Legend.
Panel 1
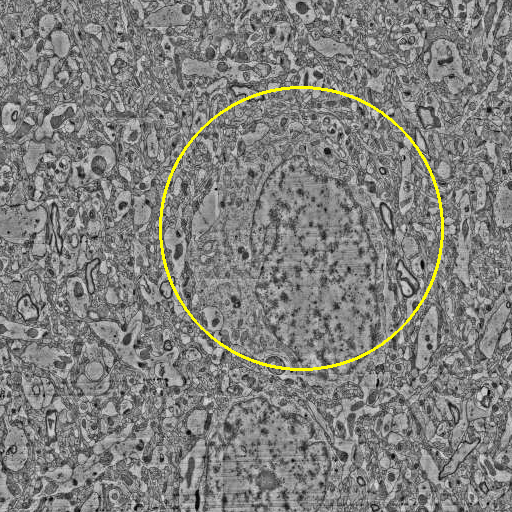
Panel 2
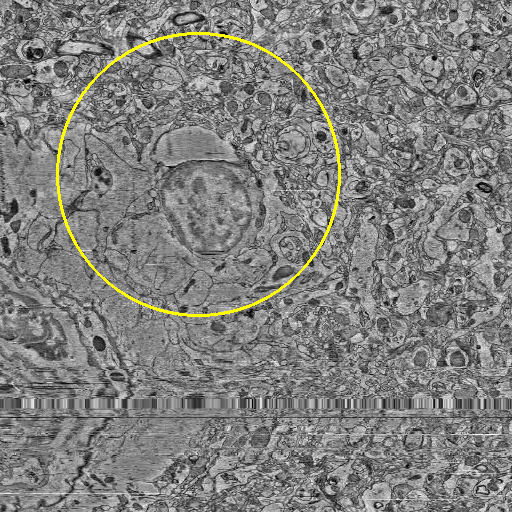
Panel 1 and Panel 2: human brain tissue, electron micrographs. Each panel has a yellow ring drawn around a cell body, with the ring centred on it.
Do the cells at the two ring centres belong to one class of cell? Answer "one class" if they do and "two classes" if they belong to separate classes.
two classes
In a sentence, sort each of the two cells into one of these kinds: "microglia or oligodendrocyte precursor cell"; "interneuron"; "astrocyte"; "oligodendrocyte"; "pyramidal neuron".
The first of the two cells is an interneuron, and the second is an oligodendrocyte.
